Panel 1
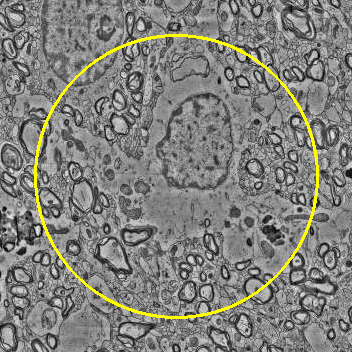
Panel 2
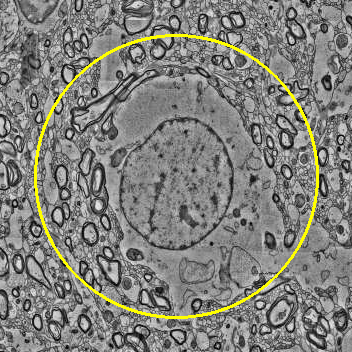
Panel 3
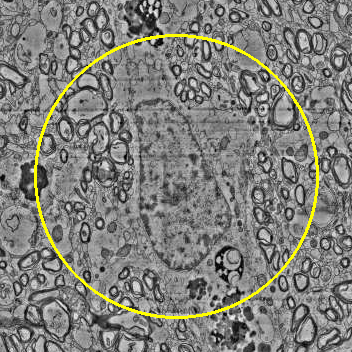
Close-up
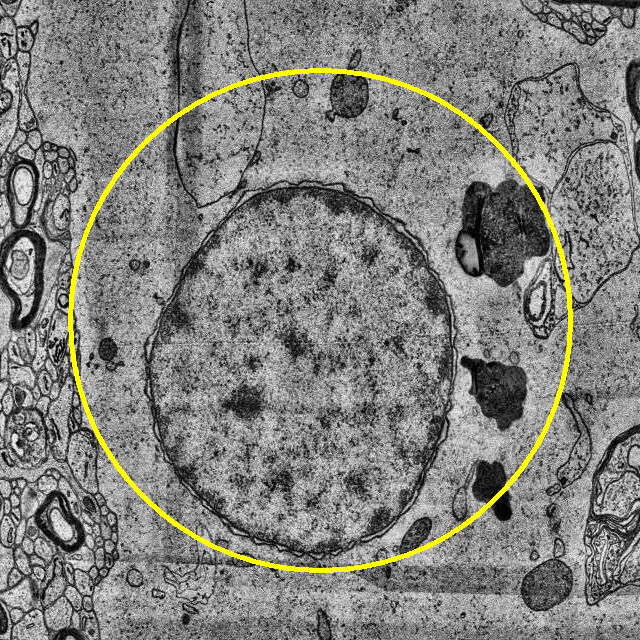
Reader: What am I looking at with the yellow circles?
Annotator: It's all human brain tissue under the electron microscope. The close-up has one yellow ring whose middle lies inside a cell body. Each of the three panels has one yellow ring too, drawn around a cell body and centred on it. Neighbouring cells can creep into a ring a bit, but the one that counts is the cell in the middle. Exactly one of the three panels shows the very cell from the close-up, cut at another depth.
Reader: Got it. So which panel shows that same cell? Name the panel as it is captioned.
Panel 2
